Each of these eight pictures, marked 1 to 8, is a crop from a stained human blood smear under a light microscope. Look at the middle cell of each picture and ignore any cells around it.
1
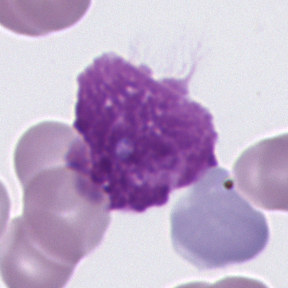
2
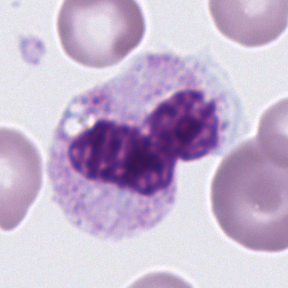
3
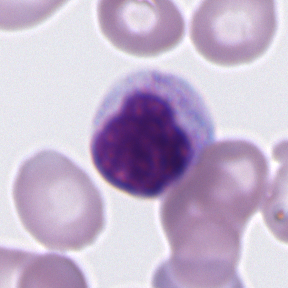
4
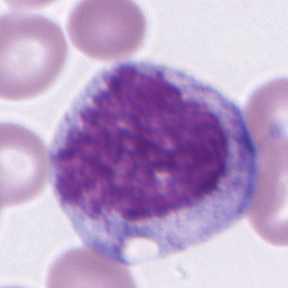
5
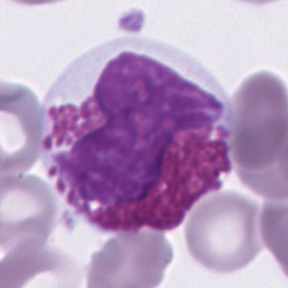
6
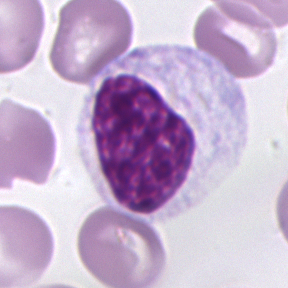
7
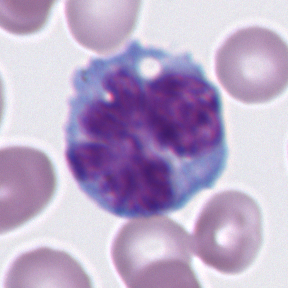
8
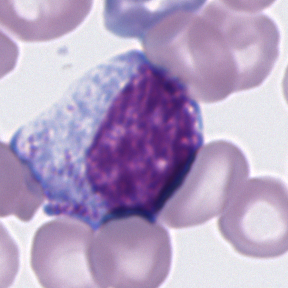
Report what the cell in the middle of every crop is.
1: smudge cell
2: segmented neutrophil
3: typical lymphocyte
4: promyelocyte
5: eosinophil
6: metamyelocyte
7: monocyte
8: myelocyte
